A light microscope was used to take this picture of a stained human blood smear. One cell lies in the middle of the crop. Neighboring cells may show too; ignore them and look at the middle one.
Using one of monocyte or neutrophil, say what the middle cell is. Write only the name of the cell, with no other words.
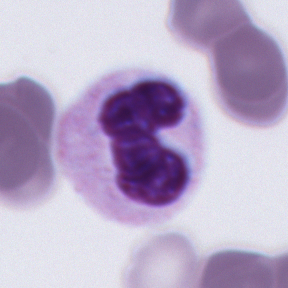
neutrophil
